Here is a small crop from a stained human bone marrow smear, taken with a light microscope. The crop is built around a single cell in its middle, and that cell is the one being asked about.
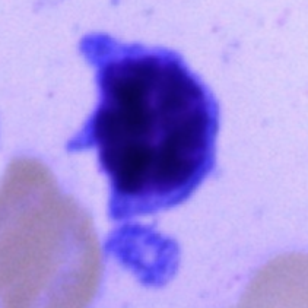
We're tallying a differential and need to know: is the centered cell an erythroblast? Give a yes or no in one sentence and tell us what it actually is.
No, instead of an erythroblast, the middle cell is a lymphocyte.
